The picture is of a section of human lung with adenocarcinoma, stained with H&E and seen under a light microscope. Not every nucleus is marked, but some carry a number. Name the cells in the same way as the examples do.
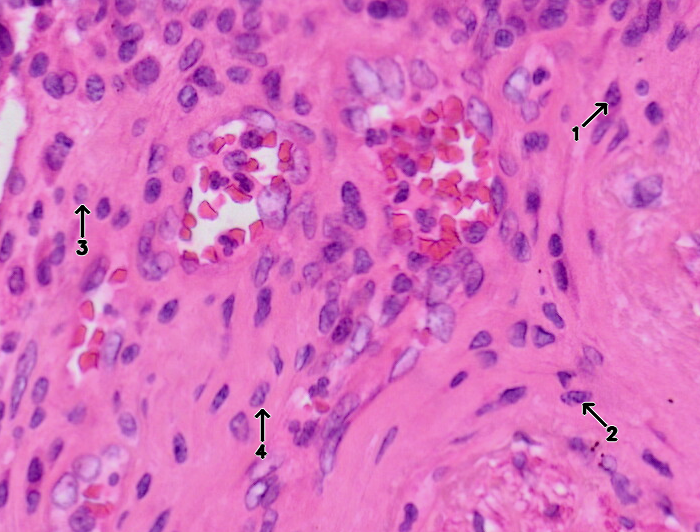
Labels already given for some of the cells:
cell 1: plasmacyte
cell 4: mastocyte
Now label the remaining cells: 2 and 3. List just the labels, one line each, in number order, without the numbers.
mastocyte
mastocyte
